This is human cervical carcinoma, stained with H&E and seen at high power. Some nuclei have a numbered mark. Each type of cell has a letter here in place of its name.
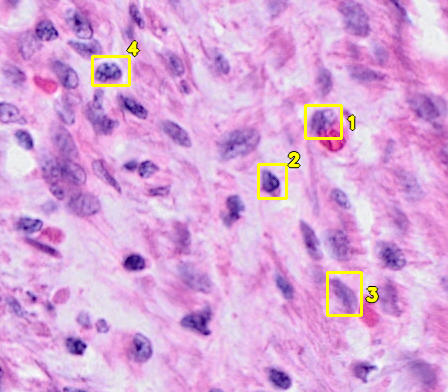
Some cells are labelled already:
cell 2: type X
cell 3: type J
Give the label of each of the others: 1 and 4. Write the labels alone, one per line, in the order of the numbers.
type J
type X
